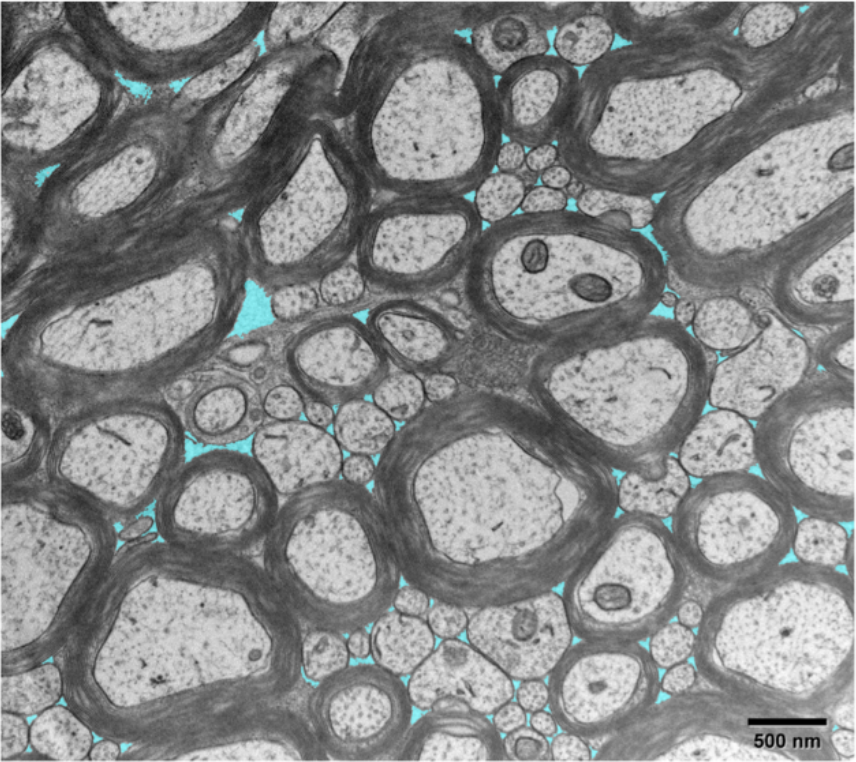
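This is white matter seen at high magnification, packed with axons cut across. Many of the larger axons are wrapped in thick, dark myelin sheaths made of tightly stacked layers, and their pale interiors are speckled with fine dots of the cytoskeleton, with an occasional oval mitochondrion. Between these myelinated fibres lie many small, round, unmyelinated axon profiles. The fibres are packed closely together.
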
